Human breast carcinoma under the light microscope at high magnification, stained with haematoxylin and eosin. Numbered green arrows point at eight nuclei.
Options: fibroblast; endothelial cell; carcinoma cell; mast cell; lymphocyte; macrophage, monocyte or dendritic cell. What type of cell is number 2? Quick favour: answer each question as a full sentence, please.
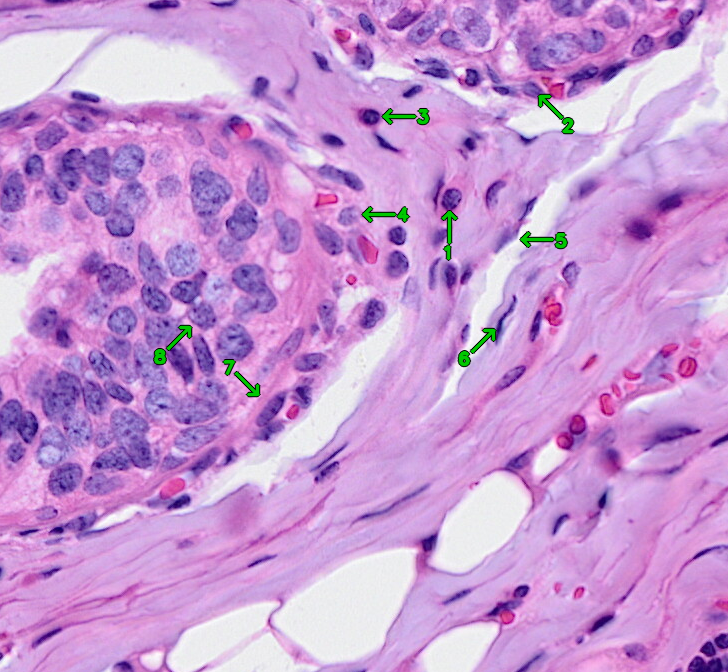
The cell identified by the number 2 is an endothelial cell.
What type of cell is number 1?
Identified by the number 1, the cell is a mast cell.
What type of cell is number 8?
Cell 8 in the field is a carcinoma cell.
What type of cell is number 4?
The cell identified by number 4 is an endothelial cell.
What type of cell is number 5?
Cell 5, among those numbered, is a fibroblast.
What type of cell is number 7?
Among the marked nuclei, number 7 belongs to an endothelial cell.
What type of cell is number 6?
Corresponding to a fibroblast is the cell labelled 6.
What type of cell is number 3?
Of the numbered cells, the one labelled 3 is a mast cell.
